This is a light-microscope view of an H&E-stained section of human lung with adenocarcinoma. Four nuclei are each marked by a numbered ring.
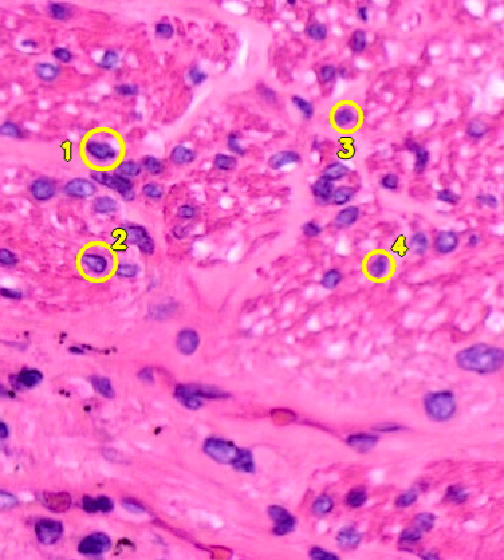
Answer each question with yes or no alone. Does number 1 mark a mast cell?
yes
